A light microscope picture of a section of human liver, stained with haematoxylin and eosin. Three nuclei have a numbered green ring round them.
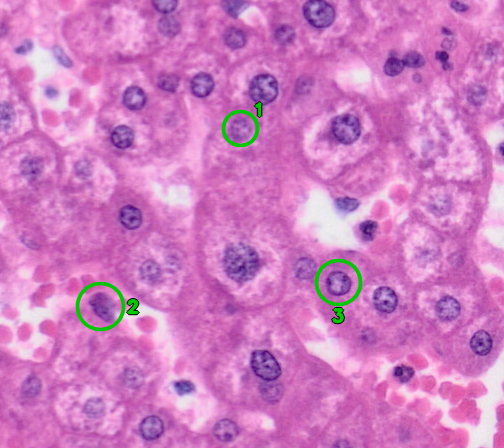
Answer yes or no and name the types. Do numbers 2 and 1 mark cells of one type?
No, cell 2 is an endothelial cell and cell 1 is a hepatocyte.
